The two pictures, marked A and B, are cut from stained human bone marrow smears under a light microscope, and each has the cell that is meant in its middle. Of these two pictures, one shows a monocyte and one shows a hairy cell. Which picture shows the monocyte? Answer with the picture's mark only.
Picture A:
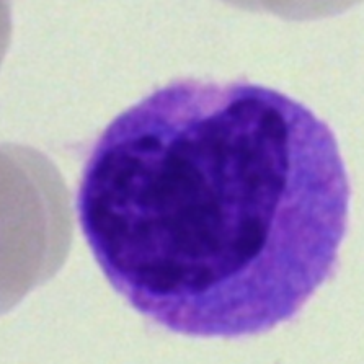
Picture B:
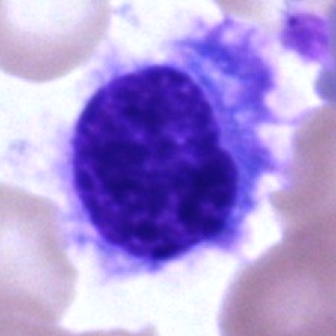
A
